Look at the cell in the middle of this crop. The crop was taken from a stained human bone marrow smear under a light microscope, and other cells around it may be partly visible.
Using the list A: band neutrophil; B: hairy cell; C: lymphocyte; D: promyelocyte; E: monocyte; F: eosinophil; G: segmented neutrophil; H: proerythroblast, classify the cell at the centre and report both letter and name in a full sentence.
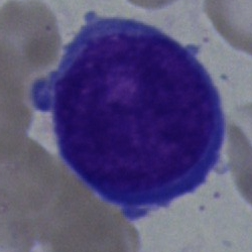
The middle cell of the crop is a proerythroblast; accordingly, option H is correct.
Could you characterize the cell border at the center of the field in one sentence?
This cell does not have a smooth edge; it is ragged or extended into projections.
